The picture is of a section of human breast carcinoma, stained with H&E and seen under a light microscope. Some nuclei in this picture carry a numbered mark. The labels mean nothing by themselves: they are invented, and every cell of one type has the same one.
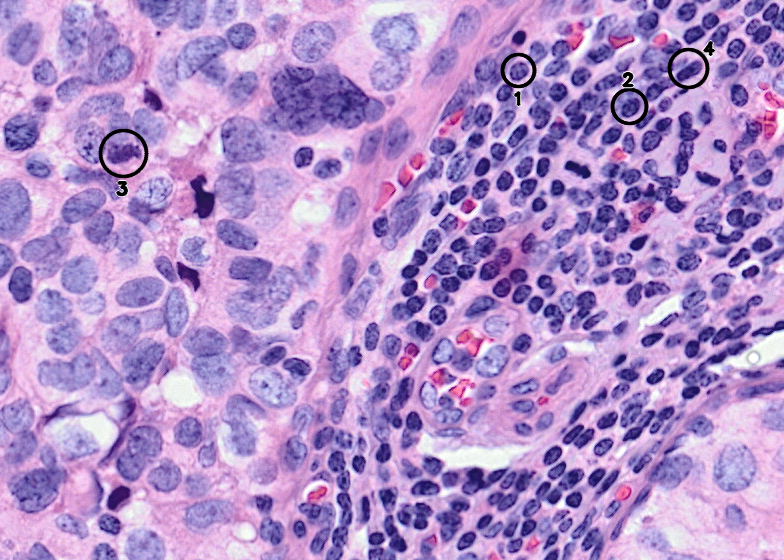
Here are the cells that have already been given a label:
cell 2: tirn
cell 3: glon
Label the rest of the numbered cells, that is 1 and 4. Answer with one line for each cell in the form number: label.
1: tirn
4: tirn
